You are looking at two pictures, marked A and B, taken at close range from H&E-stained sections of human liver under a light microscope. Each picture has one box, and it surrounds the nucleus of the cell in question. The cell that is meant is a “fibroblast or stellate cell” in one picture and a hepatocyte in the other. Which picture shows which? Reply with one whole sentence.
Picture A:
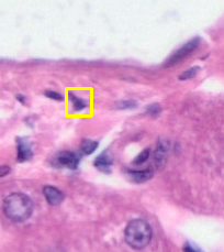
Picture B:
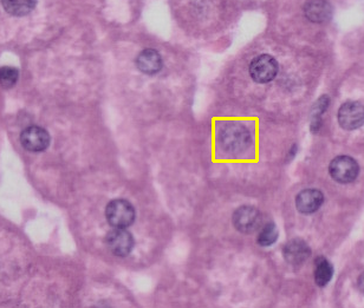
In picture A the cell is a “fibroblast or stellate cell”; in picture B, a hepatocyte.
